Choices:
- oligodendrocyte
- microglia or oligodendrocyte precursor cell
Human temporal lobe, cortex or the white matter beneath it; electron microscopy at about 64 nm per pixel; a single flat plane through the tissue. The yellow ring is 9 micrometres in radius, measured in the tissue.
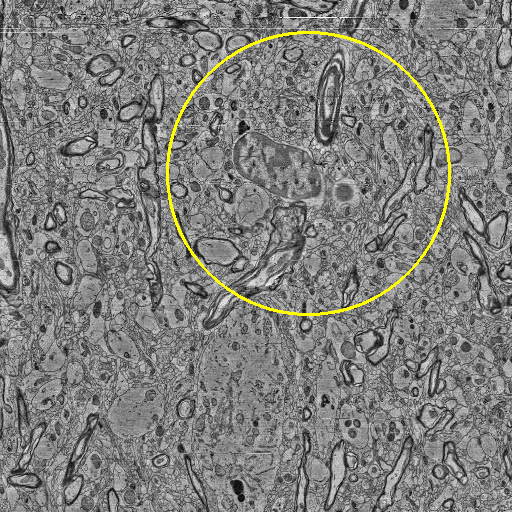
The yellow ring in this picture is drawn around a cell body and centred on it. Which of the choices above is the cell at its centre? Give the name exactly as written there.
microglia or oligodendrocyte precursor cell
